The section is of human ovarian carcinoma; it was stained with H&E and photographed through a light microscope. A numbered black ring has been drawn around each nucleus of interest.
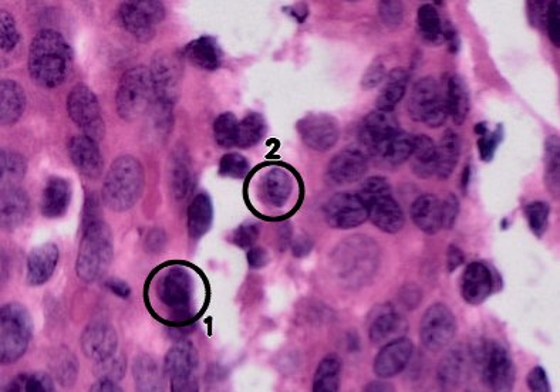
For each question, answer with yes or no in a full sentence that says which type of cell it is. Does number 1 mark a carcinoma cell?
Yes, the cell tagged with number 1 is a carcinoma cell.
